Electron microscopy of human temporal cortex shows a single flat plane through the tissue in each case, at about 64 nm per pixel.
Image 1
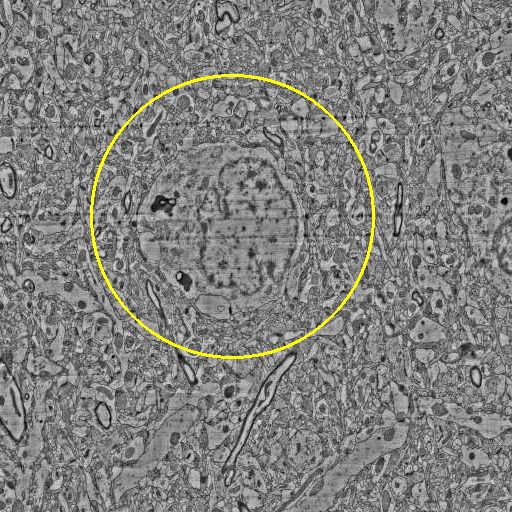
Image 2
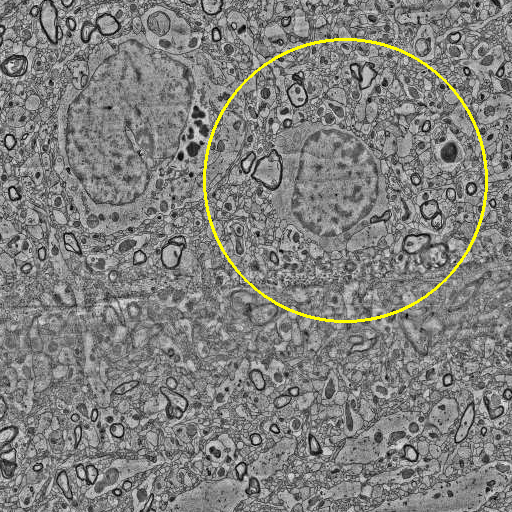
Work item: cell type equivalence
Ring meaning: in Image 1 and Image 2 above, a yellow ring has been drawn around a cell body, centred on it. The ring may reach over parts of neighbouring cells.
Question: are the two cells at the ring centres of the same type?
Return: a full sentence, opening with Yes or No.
No, the two centred cells are of two types.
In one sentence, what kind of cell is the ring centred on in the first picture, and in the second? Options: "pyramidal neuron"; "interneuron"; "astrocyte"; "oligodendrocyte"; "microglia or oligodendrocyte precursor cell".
The cell at the centre of the second ring is an oligodendrocyte; the first ring's cell is an interneuron.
